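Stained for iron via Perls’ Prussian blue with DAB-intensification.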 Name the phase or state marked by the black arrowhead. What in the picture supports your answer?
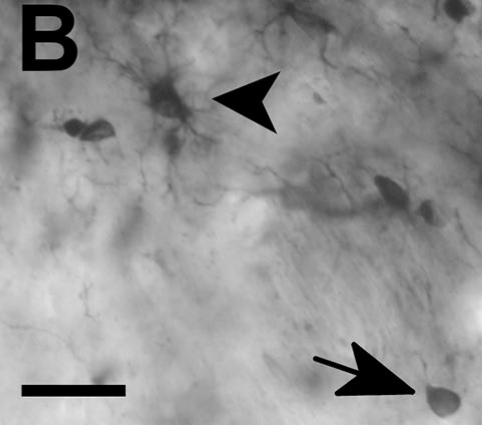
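Ramified. The marked dark cell has a small body with many fine branching processes extending in all directions.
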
